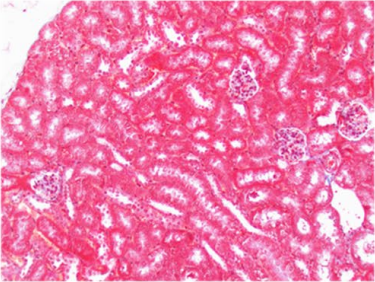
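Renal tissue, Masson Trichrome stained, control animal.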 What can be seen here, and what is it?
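This is kidney cortex in which the tubules are preserved: they lie tightly packed side by side, their tall epithelial cells staining an even red with narrow lumens. Scattered among them are a few round glomeruli, and hardly any blue-stained material separates the tubules.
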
